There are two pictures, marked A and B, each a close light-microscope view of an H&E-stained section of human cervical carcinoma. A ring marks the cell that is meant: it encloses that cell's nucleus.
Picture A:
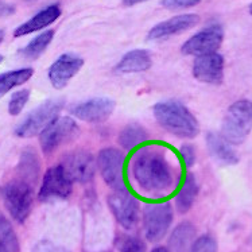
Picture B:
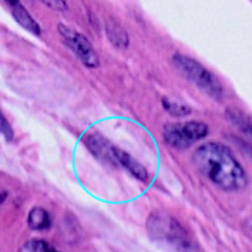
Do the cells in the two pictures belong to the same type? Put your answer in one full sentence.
No; the cell in picture A is a secretory epithelial cell, while the one in picture B is a fibroblast.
